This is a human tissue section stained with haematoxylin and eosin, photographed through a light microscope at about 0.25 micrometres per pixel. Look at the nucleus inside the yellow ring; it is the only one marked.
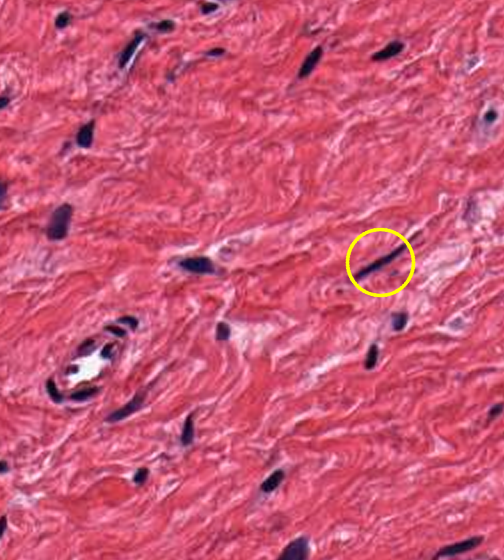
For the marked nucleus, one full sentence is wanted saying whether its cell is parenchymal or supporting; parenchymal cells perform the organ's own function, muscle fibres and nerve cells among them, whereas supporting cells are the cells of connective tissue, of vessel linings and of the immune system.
The cell bearing the marked nucleus is a supporting cell.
